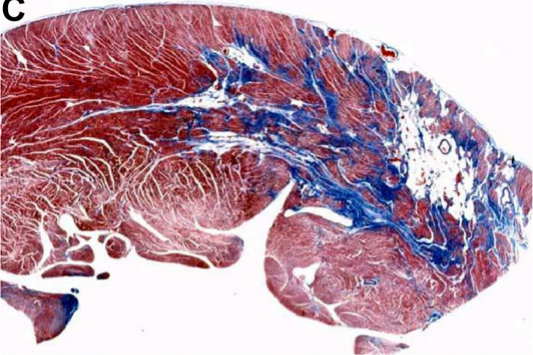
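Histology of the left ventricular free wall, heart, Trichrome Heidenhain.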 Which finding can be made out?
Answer: fibro-fatty replacement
